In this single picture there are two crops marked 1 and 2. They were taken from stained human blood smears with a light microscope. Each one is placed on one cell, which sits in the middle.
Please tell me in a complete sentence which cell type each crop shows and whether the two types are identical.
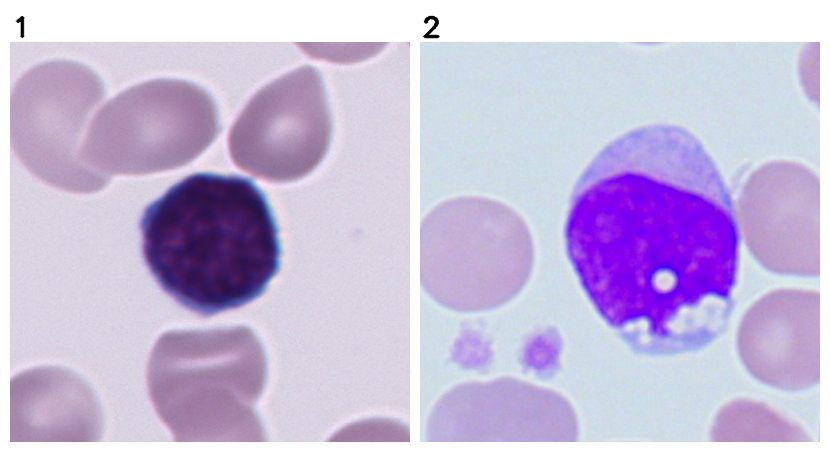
No, sorry, crop 1 shows a lymphocyte and crop 2 shows a blast.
